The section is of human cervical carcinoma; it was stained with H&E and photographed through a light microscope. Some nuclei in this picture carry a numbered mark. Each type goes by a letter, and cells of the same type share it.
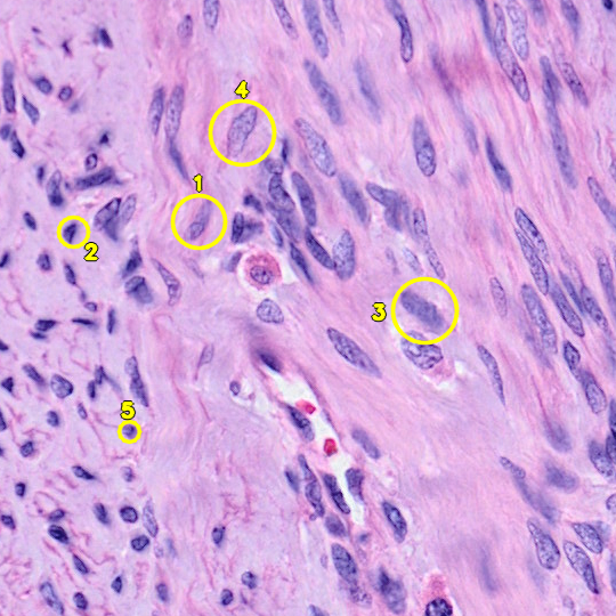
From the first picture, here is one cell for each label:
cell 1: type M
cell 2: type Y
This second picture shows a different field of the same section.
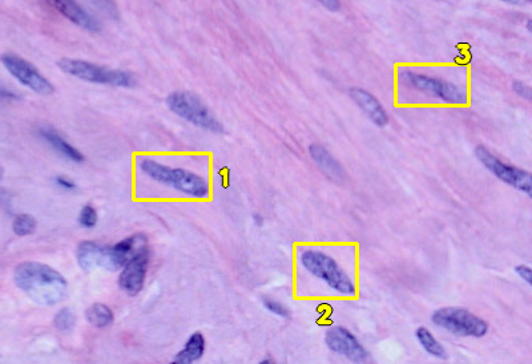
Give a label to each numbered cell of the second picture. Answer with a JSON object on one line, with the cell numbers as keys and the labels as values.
{"1": "type Y", "2": "type Y", "3": "type M"}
